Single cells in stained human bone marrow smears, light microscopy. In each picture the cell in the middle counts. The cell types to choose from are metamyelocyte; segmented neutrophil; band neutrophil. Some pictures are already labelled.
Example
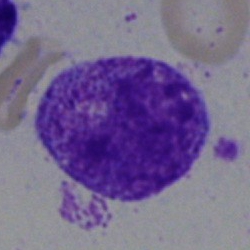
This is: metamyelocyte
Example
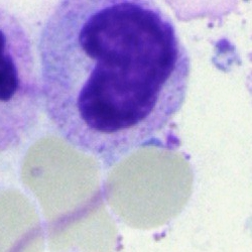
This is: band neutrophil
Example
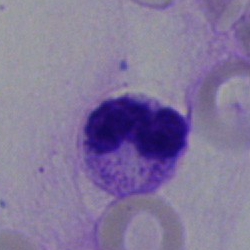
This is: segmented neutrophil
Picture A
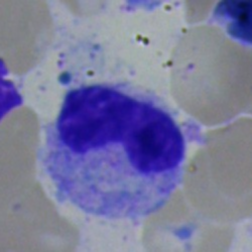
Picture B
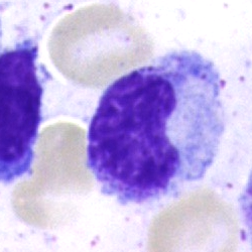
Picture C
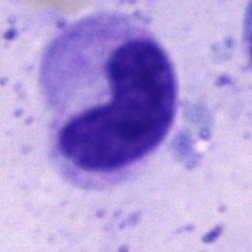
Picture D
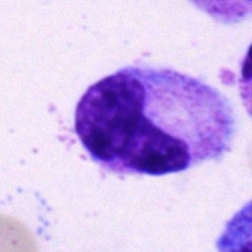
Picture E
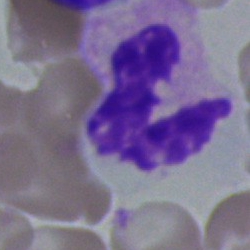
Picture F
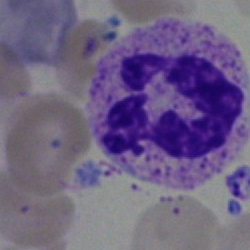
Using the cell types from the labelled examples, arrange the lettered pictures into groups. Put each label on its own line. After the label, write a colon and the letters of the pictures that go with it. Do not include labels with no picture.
metamyelocyte: A, B, C, D
segmented neutrophil: E, F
